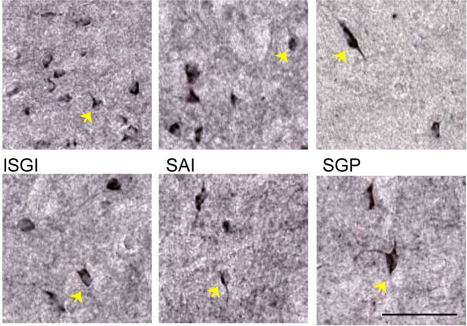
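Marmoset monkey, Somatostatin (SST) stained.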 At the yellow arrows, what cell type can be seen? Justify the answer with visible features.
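Neurons. The arrows point to small, darkly stained cell bodies on a pale grey background. Several of the stained cell bodies give off thin tapering processes. One of the stained cells is elongated, with processes leaving both ends.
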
